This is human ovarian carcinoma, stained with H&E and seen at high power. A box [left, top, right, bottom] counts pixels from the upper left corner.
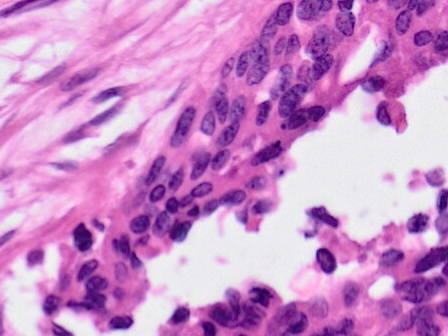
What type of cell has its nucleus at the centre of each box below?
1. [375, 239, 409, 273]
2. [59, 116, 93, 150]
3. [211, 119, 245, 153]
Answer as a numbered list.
1. macrophage or monocyte
2. fibroblast
3. carcinoma cell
